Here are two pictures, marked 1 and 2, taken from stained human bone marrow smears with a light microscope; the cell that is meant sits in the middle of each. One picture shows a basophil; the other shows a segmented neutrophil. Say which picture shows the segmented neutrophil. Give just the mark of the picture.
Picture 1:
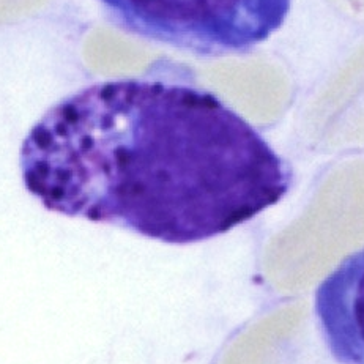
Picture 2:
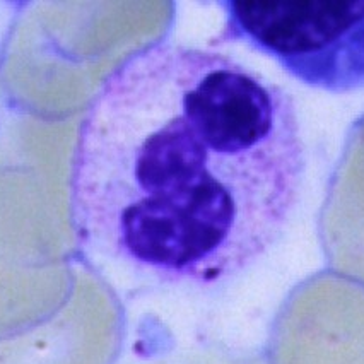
2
